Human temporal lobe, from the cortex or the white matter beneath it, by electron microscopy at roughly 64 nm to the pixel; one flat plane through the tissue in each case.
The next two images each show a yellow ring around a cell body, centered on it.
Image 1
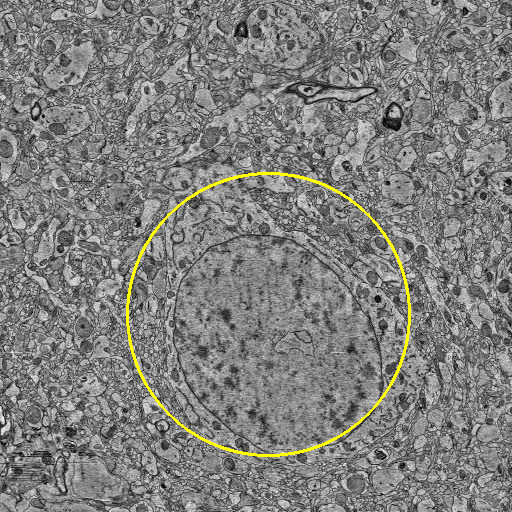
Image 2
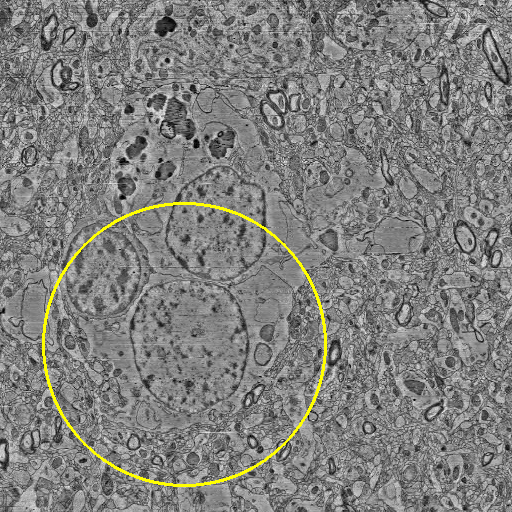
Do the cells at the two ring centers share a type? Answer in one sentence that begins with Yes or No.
No, across the two images the cells at the ring centers are of two types.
